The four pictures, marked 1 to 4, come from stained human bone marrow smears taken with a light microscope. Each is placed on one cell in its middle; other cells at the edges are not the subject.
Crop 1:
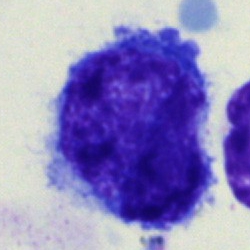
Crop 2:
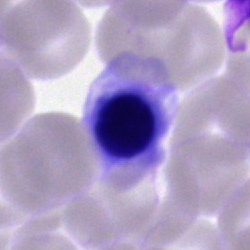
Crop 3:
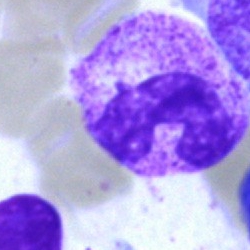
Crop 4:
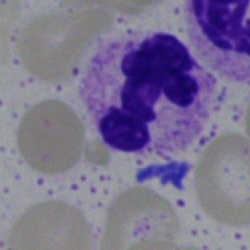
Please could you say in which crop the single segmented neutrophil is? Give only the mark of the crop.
4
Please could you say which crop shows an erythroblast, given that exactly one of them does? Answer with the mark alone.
2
